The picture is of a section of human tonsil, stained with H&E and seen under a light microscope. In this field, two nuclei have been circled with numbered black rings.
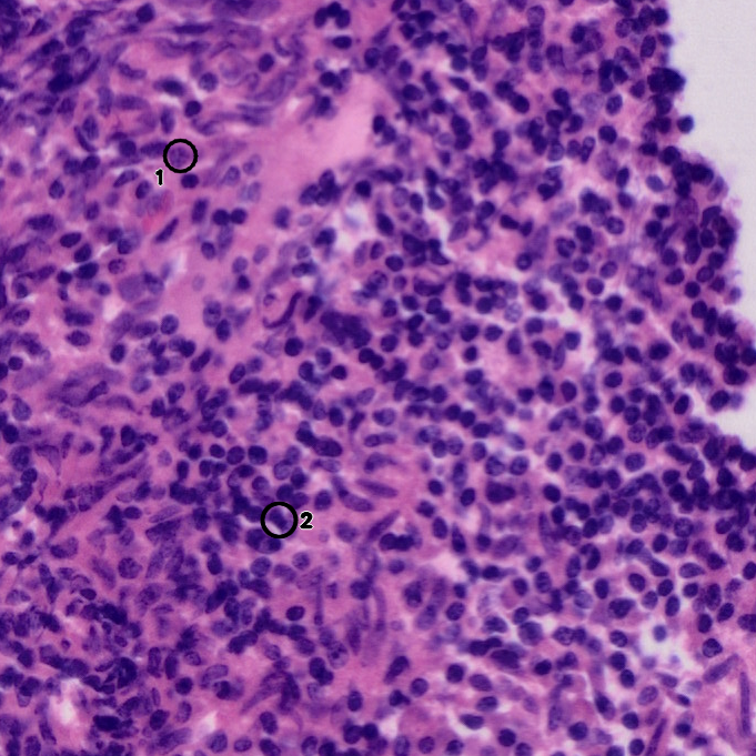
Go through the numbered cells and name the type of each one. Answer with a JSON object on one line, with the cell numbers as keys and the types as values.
{"1": "plasma cell", "2": "small lymphocyte"}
